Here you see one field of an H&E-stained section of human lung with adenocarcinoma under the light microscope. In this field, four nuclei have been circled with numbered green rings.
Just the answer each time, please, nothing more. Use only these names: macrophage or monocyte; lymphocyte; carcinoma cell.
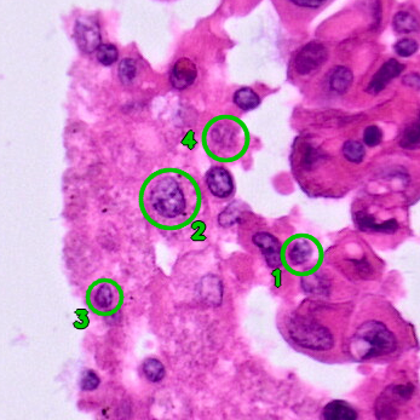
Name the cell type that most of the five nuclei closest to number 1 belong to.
carcinoma cell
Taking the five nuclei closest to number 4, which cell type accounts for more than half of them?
macrophage or monocyte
